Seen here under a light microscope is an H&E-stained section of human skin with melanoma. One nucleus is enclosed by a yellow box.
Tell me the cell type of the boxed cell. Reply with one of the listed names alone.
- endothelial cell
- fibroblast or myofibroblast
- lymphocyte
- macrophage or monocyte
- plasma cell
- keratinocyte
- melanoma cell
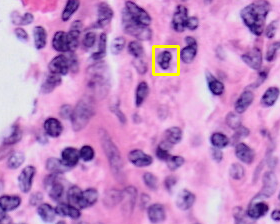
lymphocyte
